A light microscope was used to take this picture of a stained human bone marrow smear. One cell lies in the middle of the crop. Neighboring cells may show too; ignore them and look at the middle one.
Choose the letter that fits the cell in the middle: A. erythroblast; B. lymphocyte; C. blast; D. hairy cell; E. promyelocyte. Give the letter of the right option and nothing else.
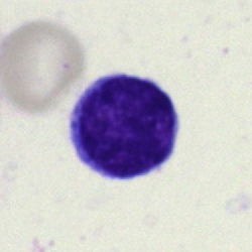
B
